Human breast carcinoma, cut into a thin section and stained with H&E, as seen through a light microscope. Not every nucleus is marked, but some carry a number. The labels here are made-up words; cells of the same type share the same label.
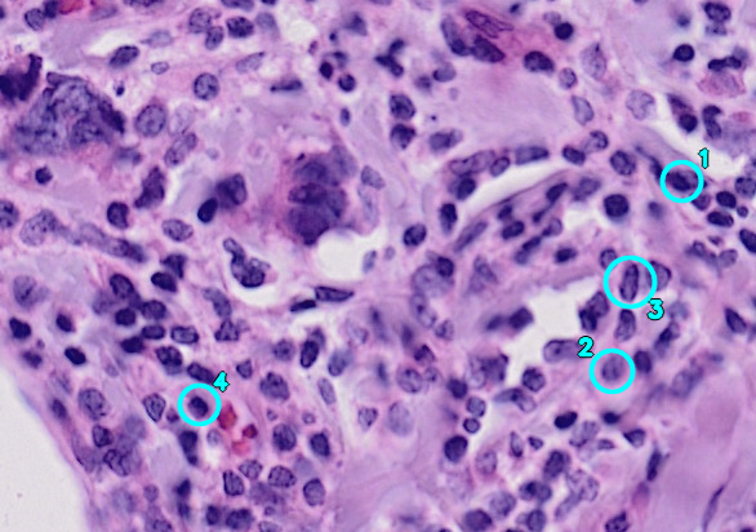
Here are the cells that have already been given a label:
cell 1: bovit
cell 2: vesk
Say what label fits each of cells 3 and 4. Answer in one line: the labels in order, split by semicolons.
bovit; bovit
